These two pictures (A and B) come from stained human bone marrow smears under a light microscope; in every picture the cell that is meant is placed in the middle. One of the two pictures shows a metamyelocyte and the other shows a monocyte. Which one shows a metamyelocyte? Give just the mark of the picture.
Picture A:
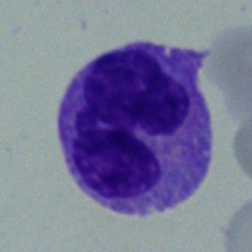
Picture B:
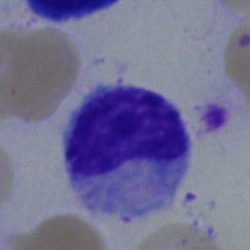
B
